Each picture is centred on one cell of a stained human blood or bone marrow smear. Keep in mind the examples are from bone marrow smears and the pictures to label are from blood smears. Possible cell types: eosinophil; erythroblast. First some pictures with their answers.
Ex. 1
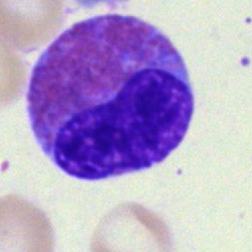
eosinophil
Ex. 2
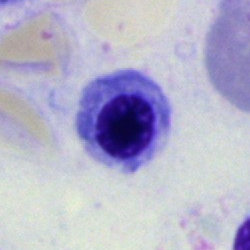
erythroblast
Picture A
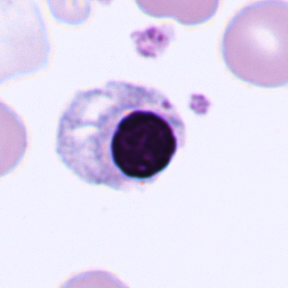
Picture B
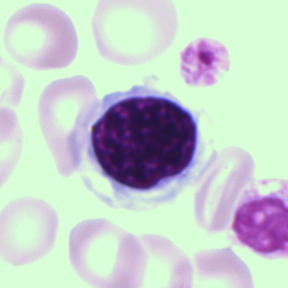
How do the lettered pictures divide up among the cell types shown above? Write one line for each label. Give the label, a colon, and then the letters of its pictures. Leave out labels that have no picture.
erythroblast: A, B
